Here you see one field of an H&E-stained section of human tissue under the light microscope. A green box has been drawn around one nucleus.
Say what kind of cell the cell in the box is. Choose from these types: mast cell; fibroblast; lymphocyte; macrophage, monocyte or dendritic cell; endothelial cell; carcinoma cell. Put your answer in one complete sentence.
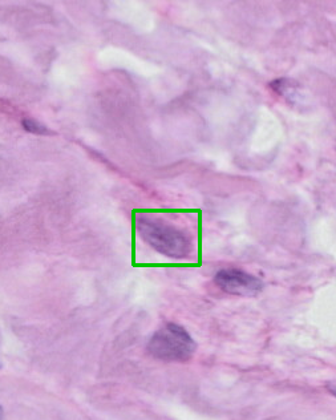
The cell in the box appears to be a fibroblast.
